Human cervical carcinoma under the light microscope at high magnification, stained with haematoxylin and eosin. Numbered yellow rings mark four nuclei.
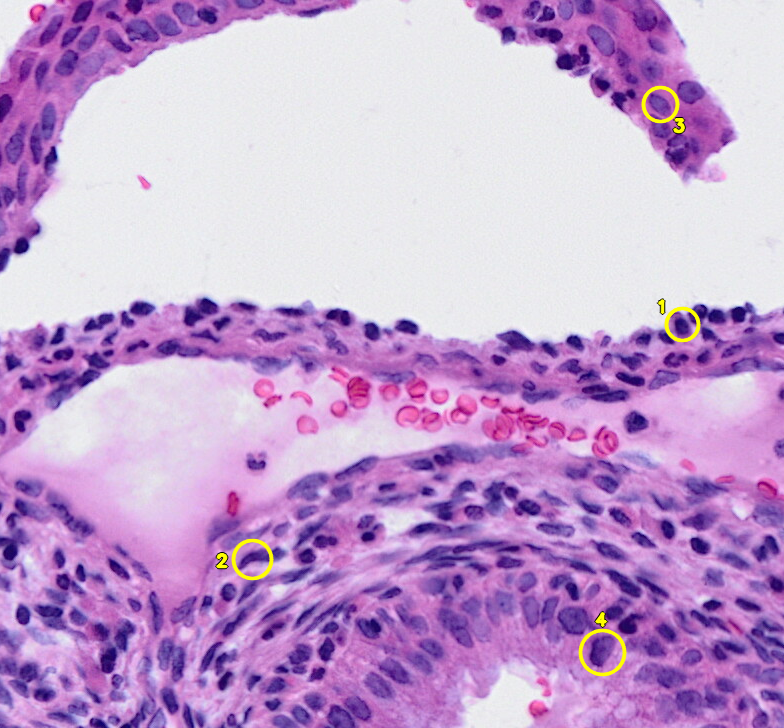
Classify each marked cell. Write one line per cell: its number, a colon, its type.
1: lymphocyte
2: fibroblast
3: secretory epithelial cell
4: secretory epithelial cell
